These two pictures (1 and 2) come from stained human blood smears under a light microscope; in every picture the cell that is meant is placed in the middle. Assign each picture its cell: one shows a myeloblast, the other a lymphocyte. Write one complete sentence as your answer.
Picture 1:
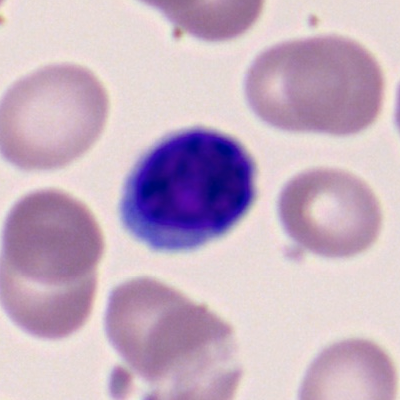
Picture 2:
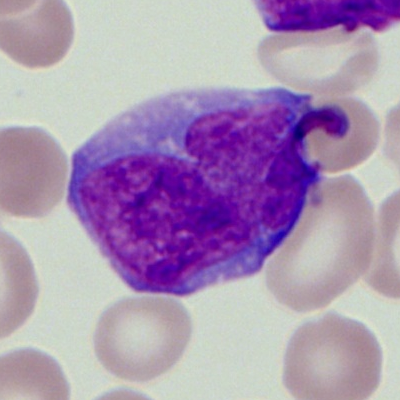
Picture 2 shows a myeloblast, while picture 1 shows a lymphocyte.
